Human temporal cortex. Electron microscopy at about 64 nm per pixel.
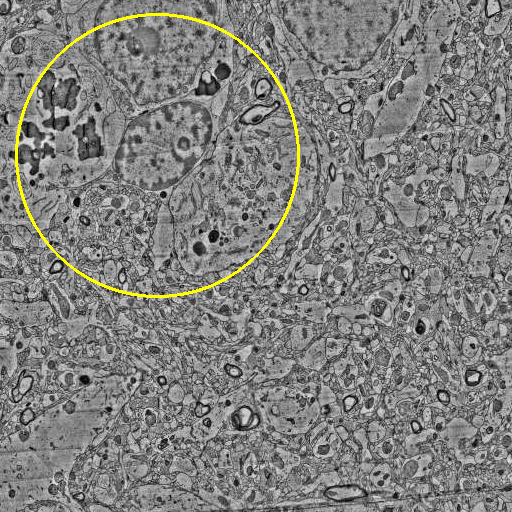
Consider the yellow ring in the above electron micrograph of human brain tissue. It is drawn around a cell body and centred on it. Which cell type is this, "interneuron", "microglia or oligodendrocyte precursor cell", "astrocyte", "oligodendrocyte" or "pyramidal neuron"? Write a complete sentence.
The cell in question is a microglial cell or oligodendrocyte precursor cell.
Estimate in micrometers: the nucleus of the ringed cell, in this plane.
In this plane the nucleus spans approximately 7 by 5 micrometers.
